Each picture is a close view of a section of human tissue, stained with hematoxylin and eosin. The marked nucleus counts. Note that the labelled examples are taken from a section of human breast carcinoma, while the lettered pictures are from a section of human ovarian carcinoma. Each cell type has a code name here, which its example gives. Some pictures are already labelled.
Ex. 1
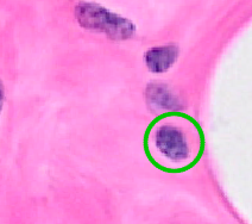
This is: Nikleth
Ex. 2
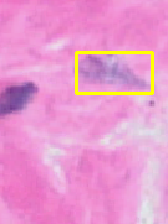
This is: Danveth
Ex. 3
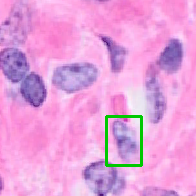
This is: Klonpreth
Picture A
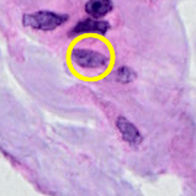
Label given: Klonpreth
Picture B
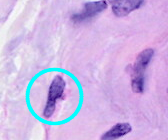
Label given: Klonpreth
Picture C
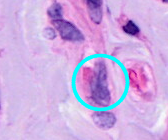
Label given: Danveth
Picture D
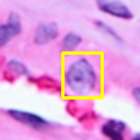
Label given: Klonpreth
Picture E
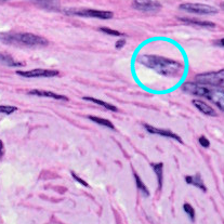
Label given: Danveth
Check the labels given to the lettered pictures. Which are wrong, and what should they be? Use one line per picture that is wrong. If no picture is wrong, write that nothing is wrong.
B: Danveth, not Klonpreth
C: Klonpreth, not Danveth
